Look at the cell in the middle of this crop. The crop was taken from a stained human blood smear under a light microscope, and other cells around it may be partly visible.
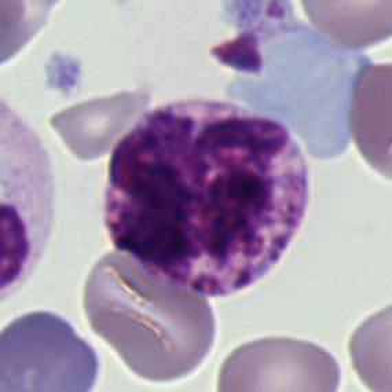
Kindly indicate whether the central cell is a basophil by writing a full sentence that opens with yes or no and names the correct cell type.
Yes, within this crop, the central cell is a basophil.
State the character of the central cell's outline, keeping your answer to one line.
The cell shows a smooth outline that lacks any surface projections.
